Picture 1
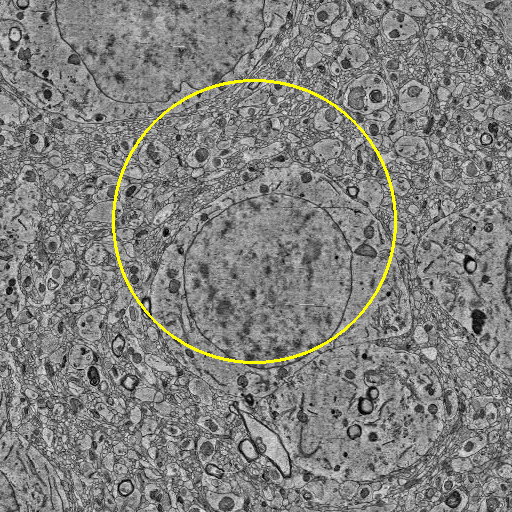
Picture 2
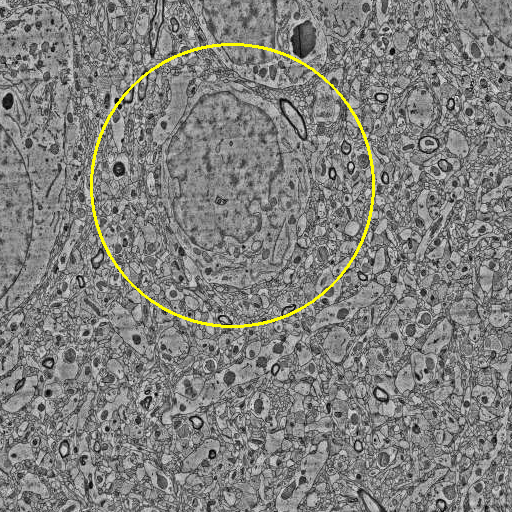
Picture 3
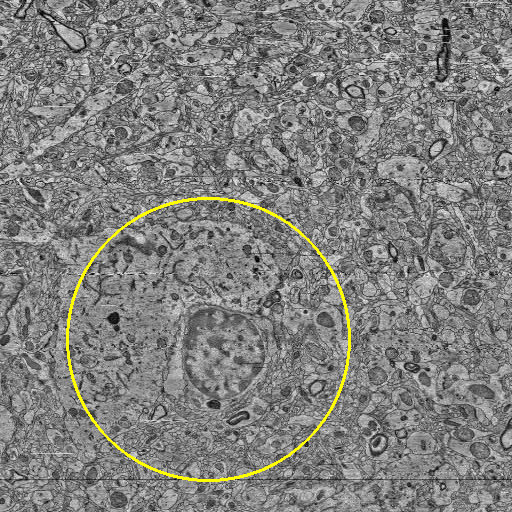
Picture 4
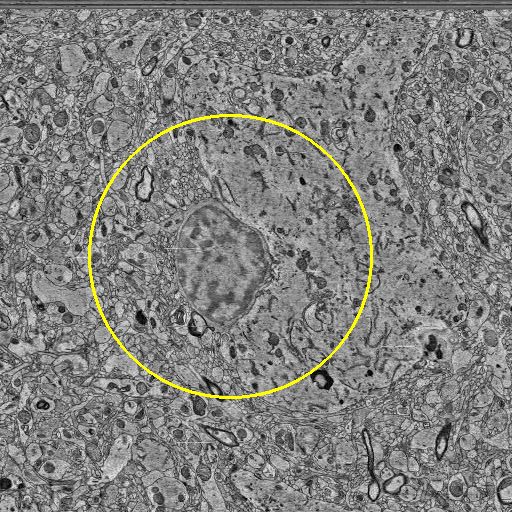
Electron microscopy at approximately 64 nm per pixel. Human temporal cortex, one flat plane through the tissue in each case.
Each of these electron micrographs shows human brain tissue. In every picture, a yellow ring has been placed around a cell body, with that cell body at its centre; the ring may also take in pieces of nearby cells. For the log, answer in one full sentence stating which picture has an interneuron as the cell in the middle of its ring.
In picture 2, the cell at the centre of the yellow ring is the requested one.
